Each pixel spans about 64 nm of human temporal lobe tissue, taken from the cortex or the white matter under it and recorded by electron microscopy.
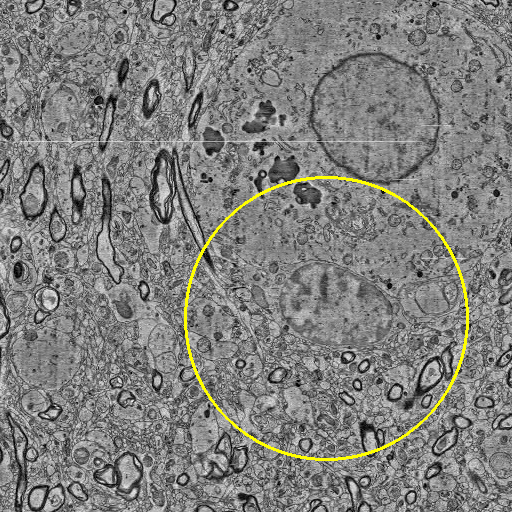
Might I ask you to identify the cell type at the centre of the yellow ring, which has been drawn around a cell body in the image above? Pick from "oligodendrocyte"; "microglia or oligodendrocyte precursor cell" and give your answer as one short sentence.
The centre of the ring falls on an oligodendrocyte.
